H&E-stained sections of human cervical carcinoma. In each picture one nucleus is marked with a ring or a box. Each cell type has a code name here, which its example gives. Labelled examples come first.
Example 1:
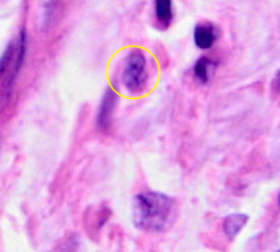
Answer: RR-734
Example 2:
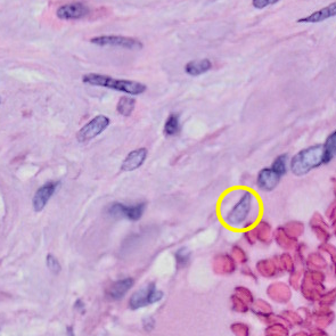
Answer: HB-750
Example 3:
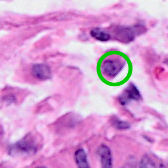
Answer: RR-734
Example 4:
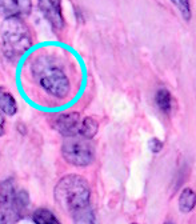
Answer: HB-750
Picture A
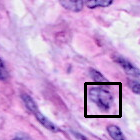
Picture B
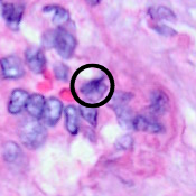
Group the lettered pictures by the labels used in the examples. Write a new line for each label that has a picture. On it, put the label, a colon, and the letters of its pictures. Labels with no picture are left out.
RR-734: A
HB-750: B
